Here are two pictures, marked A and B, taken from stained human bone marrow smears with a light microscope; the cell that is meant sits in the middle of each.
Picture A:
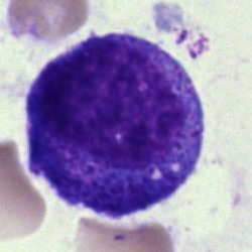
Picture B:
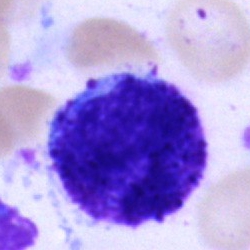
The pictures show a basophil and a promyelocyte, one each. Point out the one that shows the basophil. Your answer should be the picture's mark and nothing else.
B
